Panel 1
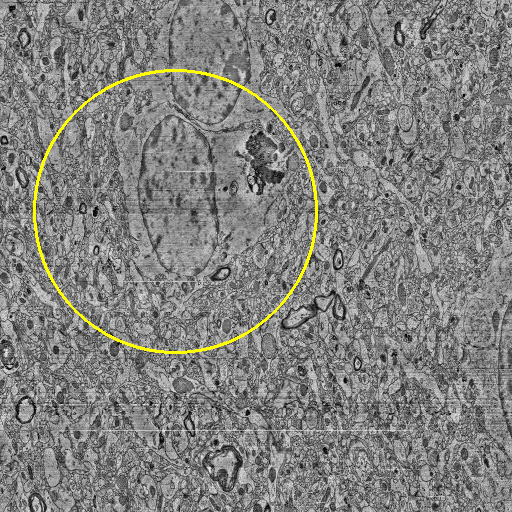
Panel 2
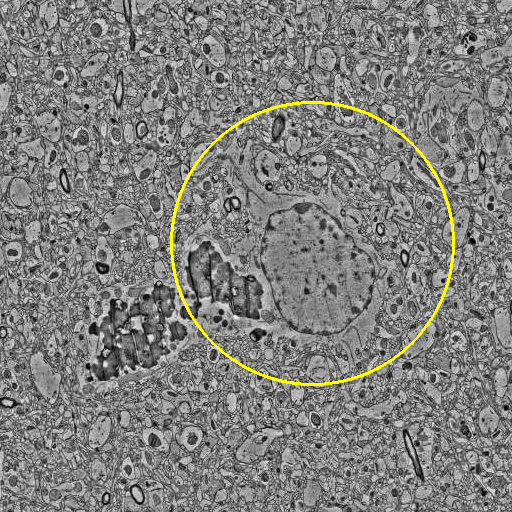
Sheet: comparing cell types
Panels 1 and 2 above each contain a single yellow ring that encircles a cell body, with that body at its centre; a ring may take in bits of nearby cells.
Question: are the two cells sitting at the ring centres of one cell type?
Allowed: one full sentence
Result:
Yes, the ring-centre cells in Panel 1 and Panel 2 are of one type.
